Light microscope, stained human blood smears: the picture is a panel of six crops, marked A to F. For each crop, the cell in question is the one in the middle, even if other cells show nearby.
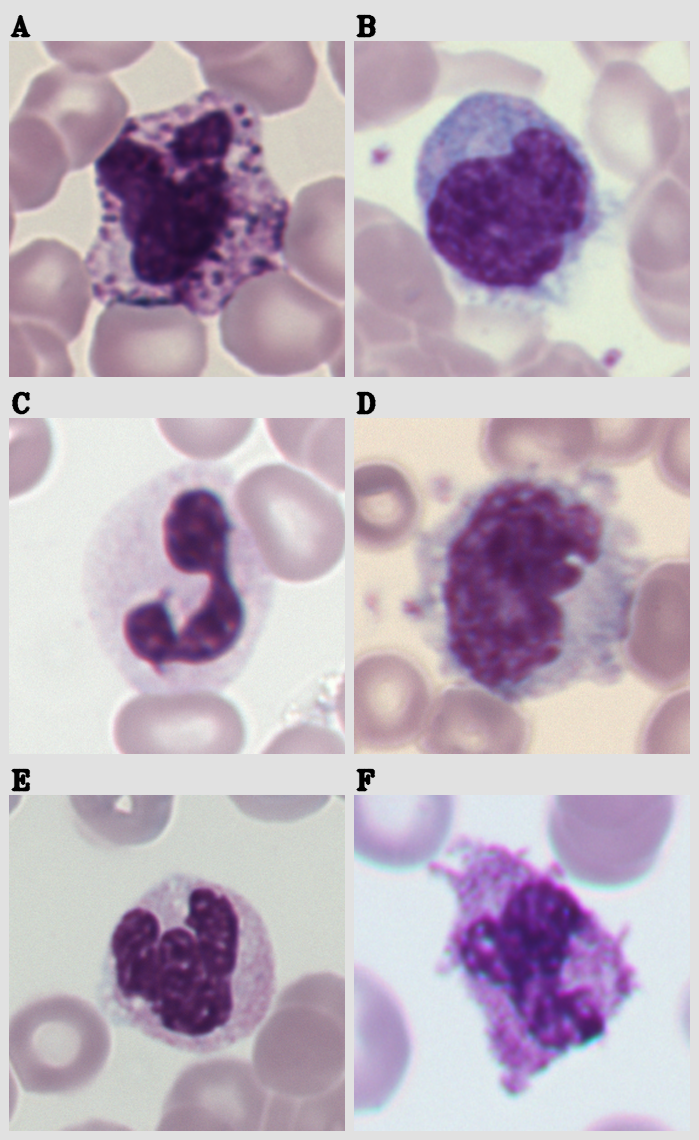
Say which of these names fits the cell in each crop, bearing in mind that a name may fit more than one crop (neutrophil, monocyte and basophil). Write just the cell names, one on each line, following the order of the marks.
basophil
monocyte
neutrophil
monocyte
neutrophil
basophil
